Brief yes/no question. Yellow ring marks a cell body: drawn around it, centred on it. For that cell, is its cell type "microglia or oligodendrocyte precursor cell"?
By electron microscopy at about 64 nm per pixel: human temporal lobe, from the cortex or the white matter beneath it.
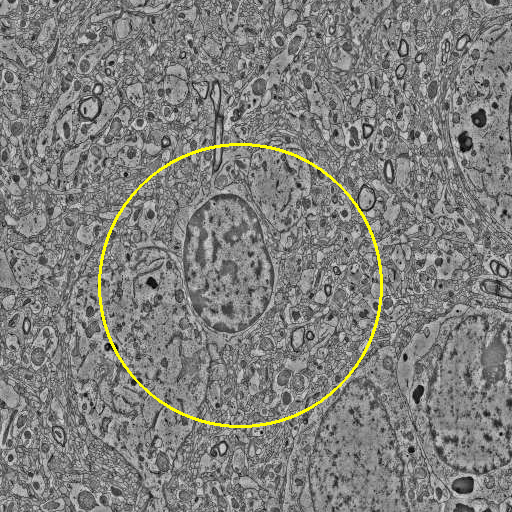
Yes, that is the cell type.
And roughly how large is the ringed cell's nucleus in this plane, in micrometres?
In this plane the nucleus is clearly longer than it is wide: roughly 9 by 6 micrometres.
